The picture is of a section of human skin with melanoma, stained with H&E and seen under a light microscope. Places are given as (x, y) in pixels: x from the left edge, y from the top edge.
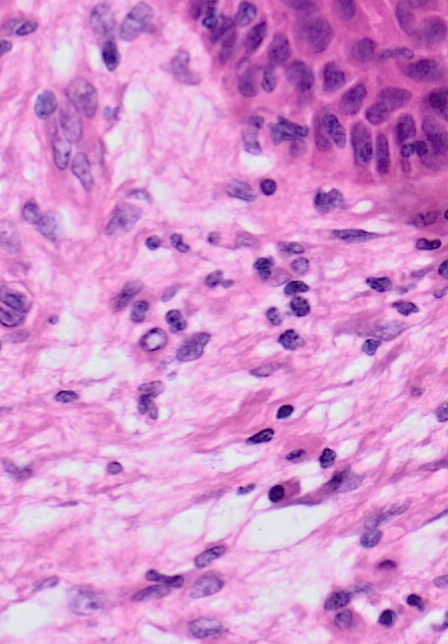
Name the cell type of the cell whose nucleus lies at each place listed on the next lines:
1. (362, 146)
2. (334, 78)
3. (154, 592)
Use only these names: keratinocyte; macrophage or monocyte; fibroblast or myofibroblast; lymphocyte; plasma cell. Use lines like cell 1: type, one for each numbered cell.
cell 1: keratinocyte
cell 2: keratinocyte
cell 3: macrophage or monocyte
